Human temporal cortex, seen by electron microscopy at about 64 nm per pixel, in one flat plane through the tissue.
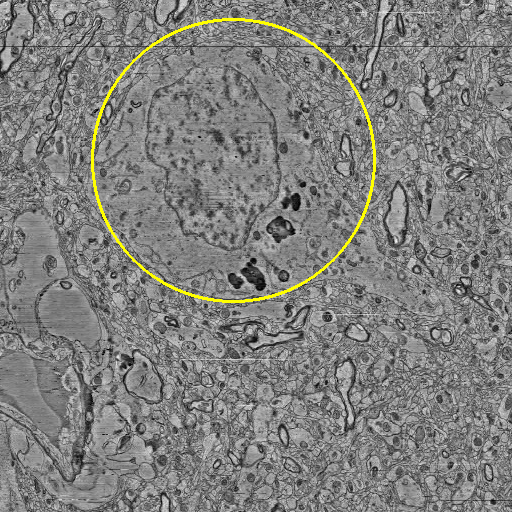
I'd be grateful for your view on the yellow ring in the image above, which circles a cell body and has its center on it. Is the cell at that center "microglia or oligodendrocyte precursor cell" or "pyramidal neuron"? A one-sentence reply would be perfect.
The cell at the center of the yellow ring is a pyramidal neuron.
